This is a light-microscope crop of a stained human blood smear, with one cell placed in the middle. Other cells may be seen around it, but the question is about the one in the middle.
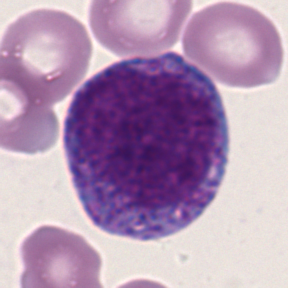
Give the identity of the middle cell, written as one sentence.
Standing at the centre of this crop is a promyelocyte.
